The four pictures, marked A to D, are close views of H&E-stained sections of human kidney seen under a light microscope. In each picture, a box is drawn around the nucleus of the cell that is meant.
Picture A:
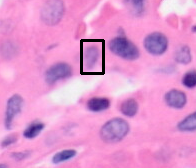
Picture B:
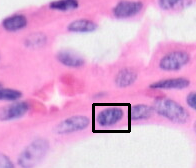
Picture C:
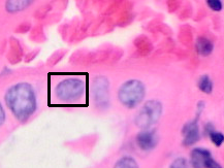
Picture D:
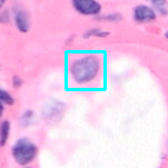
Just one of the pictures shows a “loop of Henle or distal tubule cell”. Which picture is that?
D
